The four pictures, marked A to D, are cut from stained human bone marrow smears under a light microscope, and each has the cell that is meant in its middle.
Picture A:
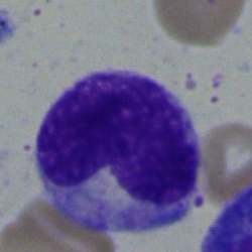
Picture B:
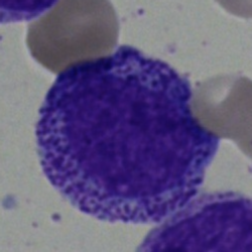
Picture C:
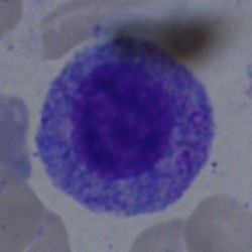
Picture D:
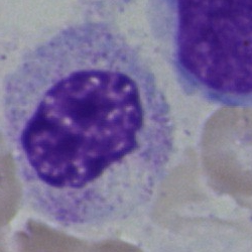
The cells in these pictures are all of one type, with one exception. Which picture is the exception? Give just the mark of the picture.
A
